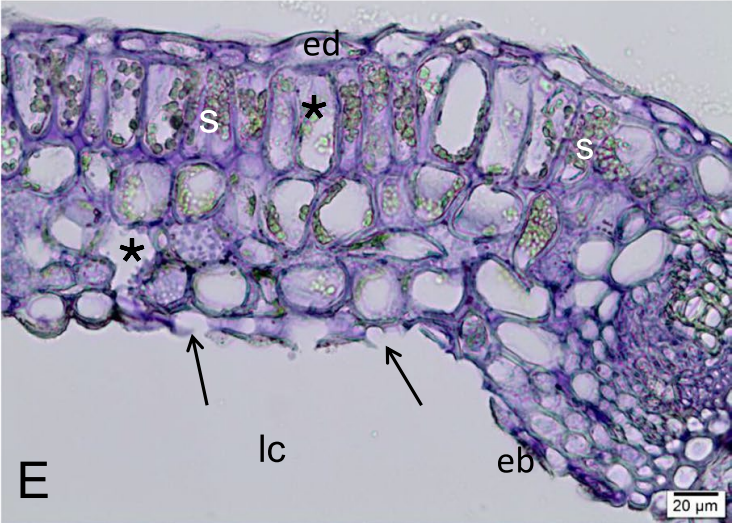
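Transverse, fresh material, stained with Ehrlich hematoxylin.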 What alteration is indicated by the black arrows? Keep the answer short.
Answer: Broken and in some places absent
